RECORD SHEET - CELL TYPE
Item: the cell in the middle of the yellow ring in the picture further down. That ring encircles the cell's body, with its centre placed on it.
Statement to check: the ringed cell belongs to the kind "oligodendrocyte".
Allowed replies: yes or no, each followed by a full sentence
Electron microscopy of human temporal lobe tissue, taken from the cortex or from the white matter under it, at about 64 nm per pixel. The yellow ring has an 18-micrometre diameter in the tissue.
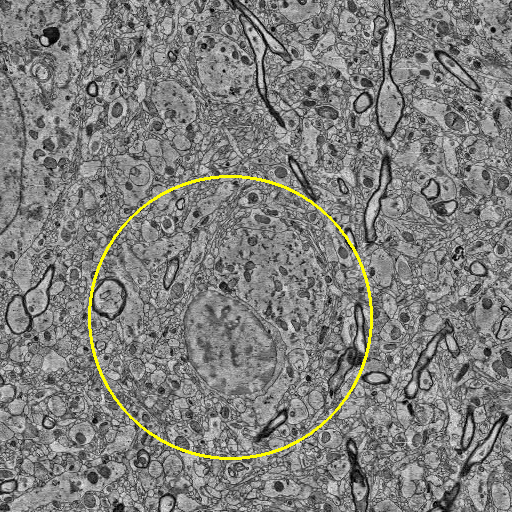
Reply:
Yes, the cell held at the centre of the ring in the picture is of that kind.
